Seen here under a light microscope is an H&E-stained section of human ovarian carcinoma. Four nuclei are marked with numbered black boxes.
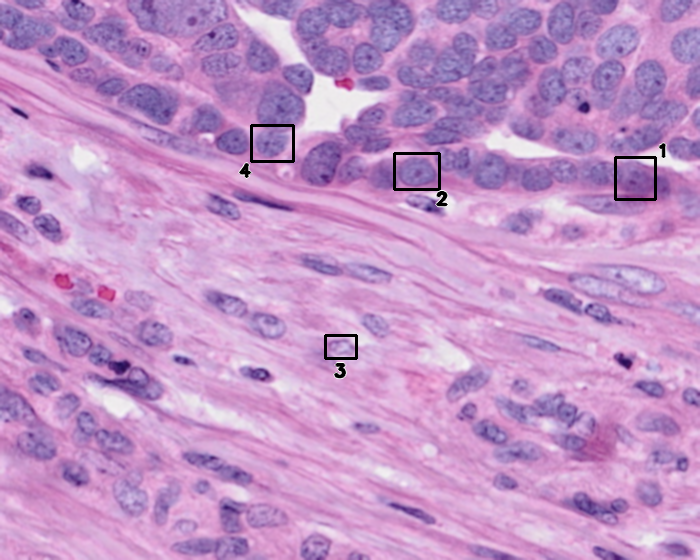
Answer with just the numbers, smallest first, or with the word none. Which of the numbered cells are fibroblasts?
3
